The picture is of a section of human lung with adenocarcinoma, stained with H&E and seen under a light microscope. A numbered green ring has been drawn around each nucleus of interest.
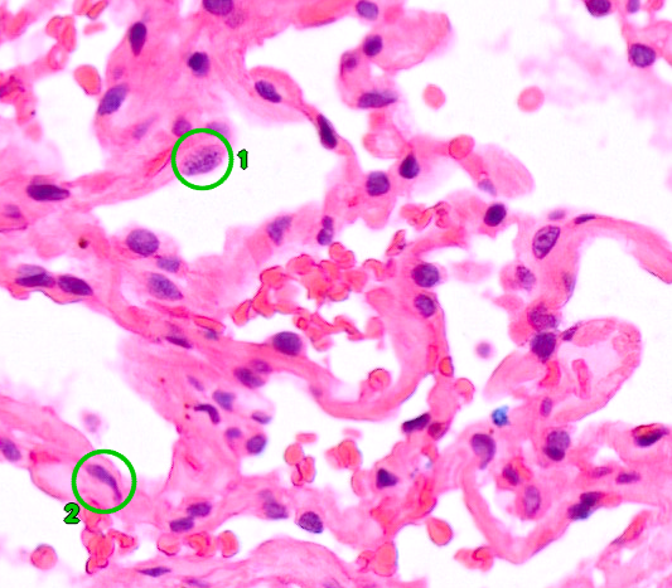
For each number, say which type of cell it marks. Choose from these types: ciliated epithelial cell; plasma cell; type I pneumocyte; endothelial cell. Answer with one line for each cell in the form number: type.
1: type I pneumocyte
2: endothelial cell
